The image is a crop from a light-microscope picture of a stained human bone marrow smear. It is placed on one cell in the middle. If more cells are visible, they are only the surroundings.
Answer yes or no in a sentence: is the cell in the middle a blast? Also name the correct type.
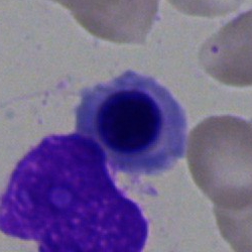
No, the cell in the middle should be called a normoblast instead of a blast.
